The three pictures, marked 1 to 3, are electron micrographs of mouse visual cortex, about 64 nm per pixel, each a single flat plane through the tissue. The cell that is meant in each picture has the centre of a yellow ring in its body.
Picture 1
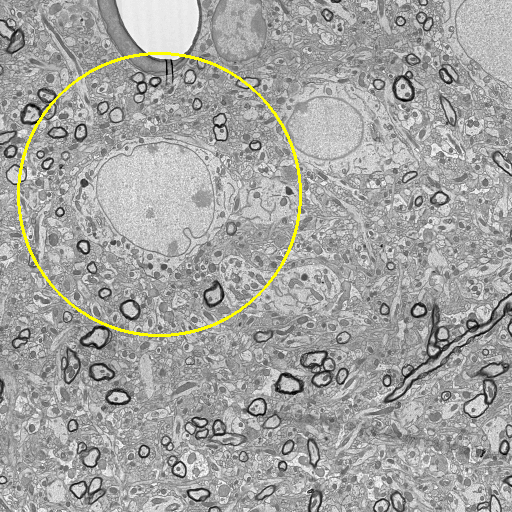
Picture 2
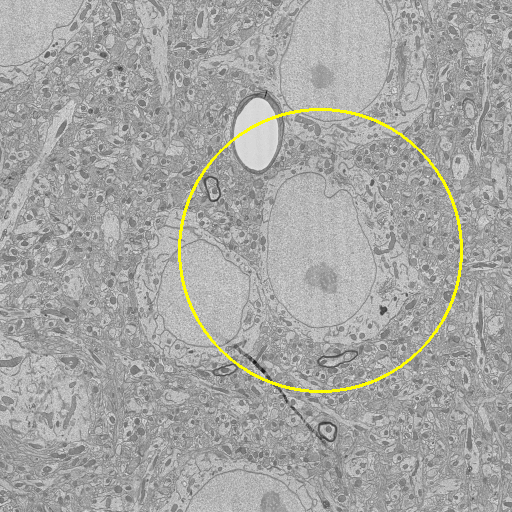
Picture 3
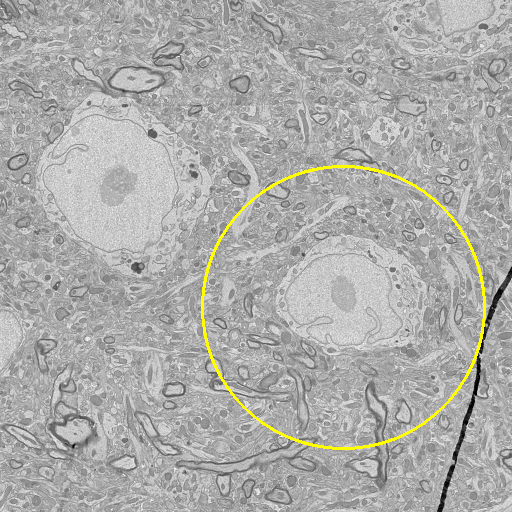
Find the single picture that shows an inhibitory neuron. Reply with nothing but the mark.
3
